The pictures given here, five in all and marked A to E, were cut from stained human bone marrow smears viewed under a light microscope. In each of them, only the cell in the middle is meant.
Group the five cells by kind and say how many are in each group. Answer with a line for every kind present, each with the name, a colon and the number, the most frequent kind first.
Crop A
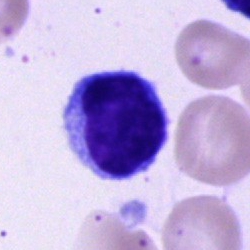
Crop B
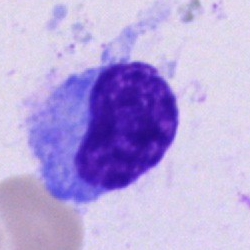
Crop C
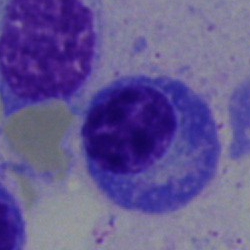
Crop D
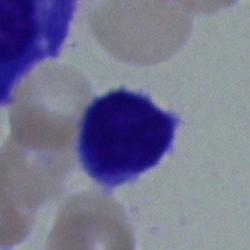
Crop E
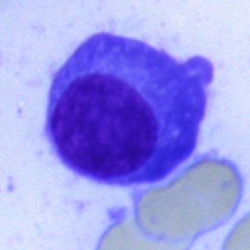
plasma cell: 3
lymphocyte: 2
